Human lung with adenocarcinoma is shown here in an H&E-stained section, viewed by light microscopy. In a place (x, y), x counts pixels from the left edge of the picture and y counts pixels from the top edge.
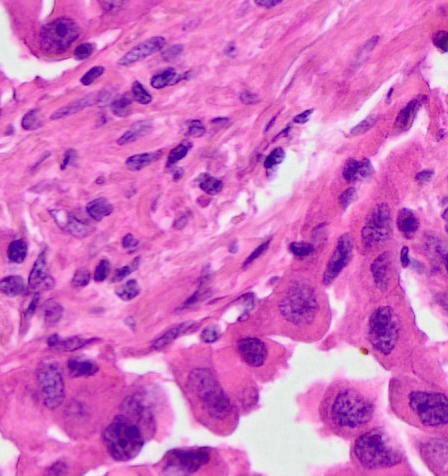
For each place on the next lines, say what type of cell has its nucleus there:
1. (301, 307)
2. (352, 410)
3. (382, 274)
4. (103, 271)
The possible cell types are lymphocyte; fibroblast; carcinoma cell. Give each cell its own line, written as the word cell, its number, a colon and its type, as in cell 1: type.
cell 1: carcinoma cell
cell 2: carcinoma cell
cell 3: carcinoma cell
cell 4: lymphocyte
